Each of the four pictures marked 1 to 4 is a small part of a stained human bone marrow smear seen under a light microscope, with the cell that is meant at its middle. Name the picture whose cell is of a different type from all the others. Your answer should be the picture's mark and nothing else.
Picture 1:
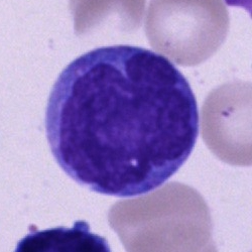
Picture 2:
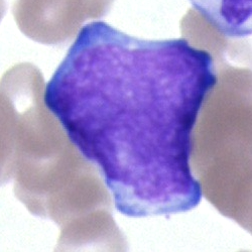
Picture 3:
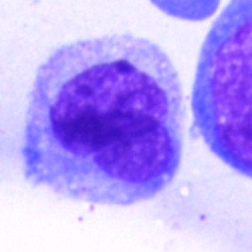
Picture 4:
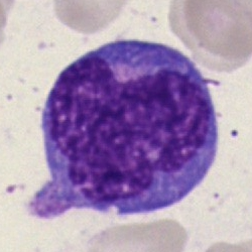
2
